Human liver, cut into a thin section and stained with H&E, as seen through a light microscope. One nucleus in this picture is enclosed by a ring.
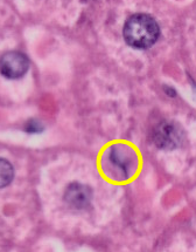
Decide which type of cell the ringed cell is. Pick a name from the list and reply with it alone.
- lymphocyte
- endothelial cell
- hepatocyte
endothelial cell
